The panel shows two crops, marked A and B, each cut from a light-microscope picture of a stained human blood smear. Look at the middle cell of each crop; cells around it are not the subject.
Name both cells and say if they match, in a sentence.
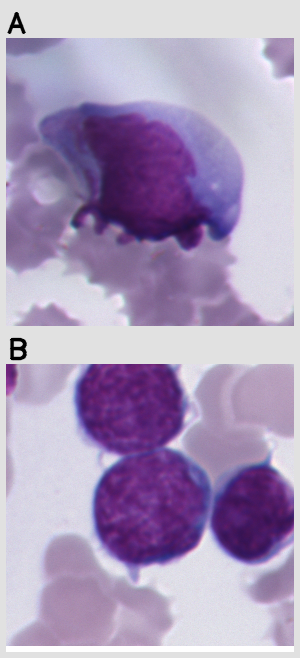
Yes, the cells in the centres of the two crops are myeloblasts.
